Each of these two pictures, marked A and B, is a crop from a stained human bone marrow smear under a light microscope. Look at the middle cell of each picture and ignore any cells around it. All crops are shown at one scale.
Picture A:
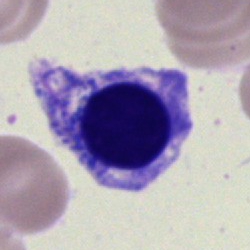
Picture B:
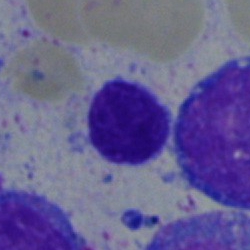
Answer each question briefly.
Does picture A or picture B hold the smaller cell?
B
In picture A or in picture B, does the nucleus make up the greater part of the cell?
B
